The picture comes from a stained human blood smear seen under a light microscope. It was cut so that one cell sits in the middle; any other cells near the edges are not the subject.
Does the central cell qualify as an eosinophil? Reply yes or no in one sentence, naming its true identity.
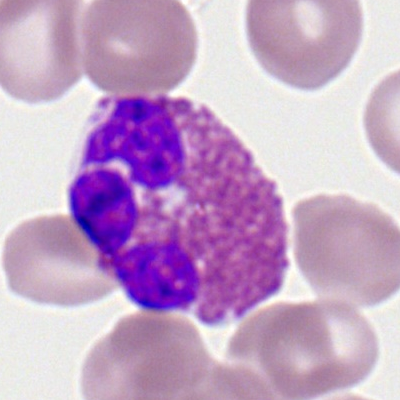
Yes, the cell positioned in the middle is an eosinophil.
